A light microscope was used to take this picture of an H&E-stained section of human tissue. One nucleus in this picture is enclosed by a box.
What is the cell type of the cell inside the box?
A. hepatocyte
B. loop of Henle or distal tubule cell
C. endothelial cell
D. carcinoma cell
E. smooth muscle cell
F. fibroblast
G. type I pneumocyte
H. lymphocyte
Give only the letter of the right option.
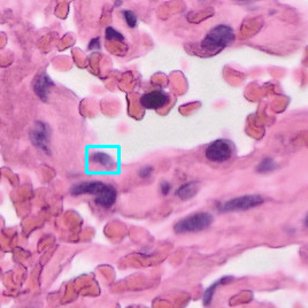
G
